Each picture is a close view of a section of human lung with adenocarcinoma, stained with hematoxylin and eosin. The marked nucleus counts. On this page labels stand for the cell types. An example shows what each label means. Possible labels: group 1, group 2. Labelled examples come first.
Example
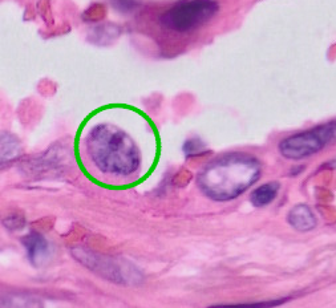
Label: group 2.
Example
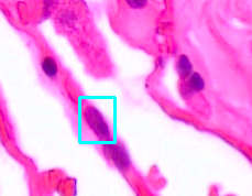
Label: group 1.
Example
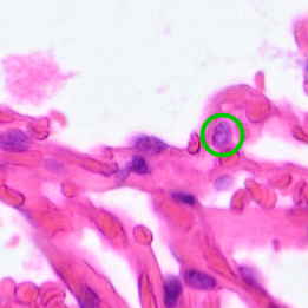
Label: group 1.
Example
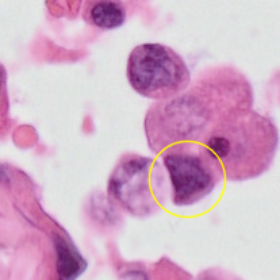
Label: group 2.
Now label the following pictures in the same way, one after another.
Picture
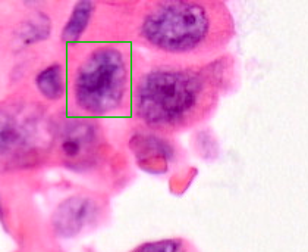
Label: group 2.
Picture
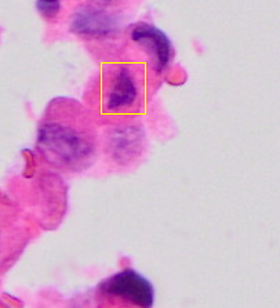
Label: group 2.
